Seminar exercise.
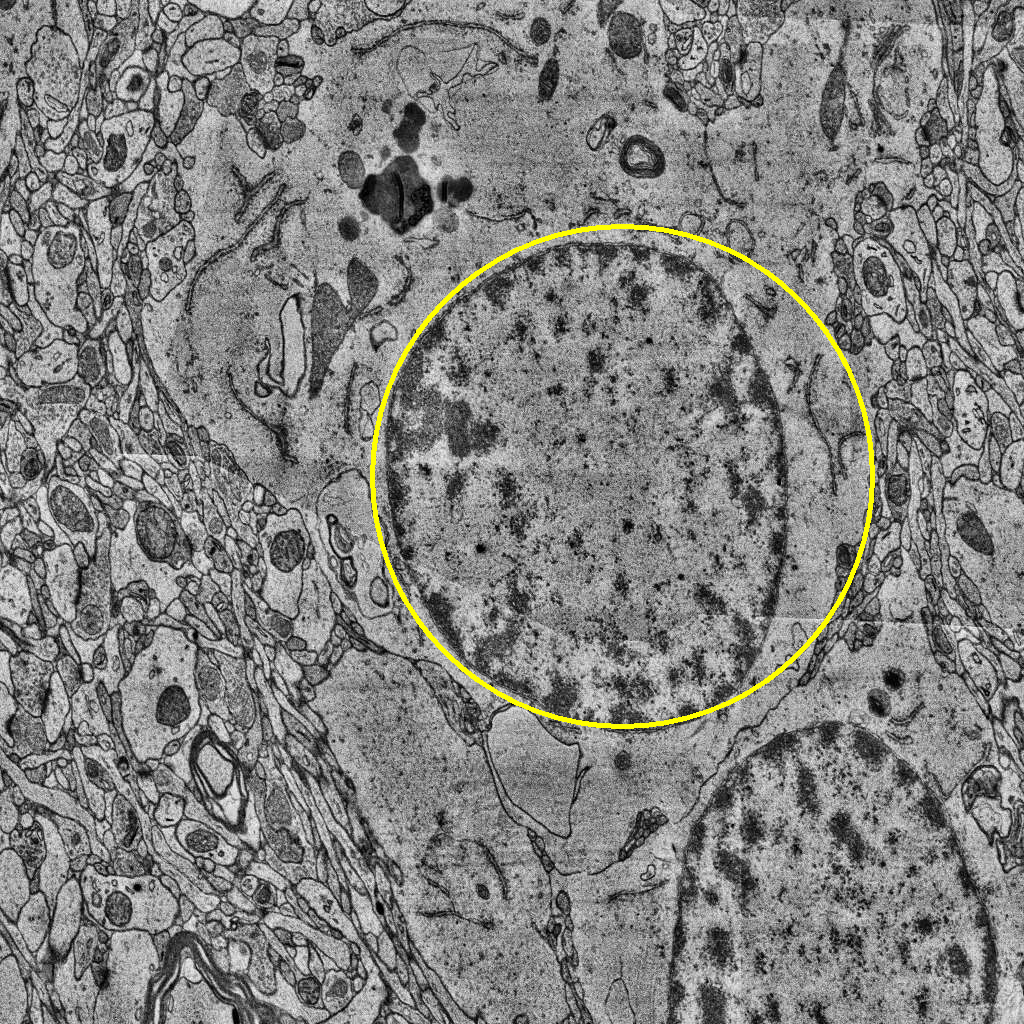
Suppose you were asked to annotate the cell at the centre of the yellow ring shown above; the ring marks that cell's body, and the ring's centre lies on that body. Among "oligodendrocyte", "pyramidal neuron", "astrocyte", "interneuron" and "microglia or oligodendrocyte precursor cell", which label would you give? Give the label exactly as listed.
astrocyte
